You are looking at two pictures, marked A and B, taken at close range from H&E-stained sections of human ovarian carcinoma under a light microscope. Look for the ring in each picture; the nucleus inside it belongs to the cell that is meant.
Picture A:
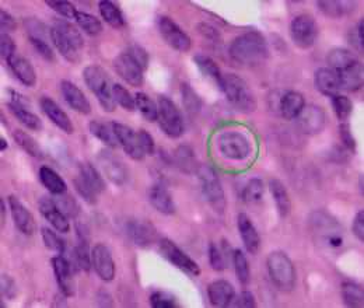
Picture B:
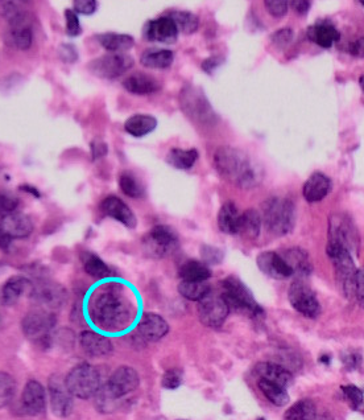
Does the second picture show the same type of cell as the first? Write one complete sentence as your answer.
No. Picture A shows a “macrophage or monocyte”, but picture B shows a carcinoma cell.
